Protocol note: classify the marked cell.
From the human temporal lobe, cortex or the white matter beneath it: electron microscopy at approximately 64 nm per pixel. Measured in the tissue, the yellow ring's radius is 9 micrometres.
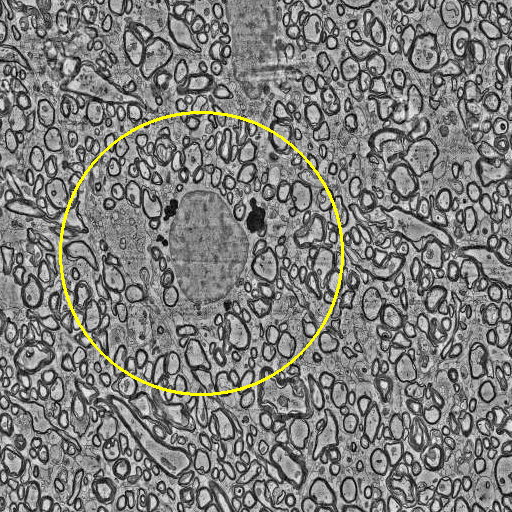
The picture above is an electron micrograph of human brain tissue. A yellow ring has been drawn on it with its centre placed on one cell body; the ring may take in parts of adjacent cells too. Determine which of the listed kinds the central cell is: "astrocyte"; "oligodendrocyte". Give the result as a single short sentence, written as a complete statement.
The central cell is an oligodendrocyte.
